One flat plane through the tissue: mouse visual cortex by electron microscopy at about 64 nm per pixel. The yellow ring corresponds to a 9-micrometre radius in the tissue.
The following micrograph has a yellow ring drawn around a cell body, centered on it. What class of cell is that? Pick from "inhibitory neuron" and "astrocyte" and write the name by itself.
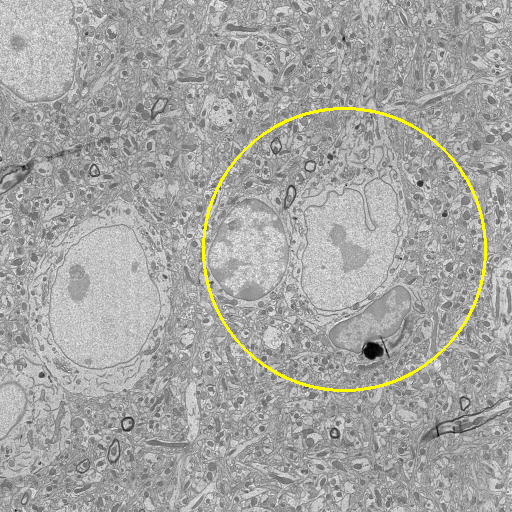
inhibitory neuron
